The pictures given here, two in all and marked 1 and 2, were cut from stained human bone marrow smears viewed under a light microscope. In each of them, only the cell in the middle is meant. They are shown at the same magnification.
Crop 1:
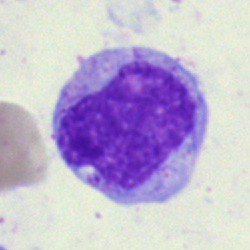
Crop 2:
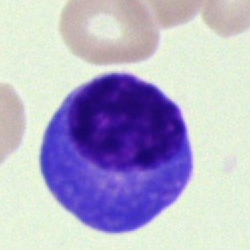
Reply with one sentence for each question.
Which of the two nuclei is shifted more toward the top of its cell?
In crop 2 the nucleus is shifted more toward the top.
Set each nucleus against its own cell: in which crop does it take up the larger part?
It is the cell in crop 1 that is filled more by its nucleus.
